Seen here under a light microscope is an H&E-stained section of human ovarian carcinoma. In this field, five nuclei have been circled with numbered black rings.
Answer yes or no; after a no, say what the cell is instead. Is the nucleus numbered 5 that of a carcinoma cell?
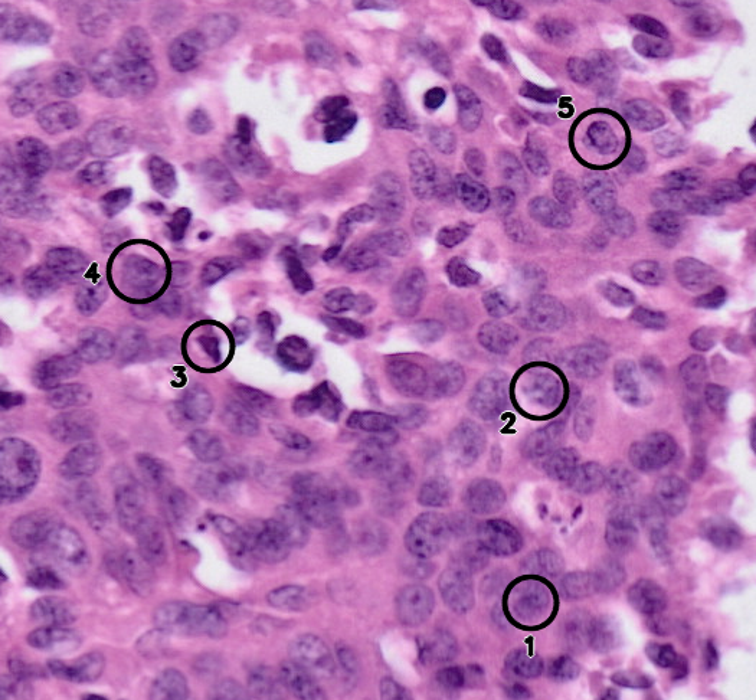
No, it is a macrophage or monocyte.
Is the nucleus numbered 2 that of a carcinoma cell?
No, it is a macrophage or monocyte.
